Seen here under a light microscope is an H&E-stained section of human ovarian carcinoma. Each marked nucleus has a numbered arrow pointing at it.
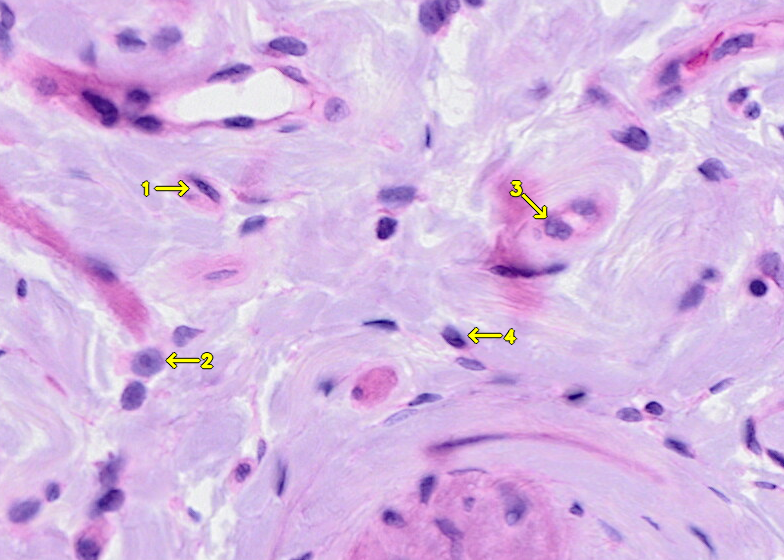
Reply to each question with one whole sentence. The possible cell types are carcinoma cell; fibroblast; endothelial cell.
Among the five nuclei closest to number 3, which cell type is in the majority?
Of the five nuclei nearest to number 3, most belong to fibroblasts.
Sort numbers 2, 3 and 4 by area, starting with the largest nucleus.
The nuclei rank 2, 4, 3, from largest to smallest.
